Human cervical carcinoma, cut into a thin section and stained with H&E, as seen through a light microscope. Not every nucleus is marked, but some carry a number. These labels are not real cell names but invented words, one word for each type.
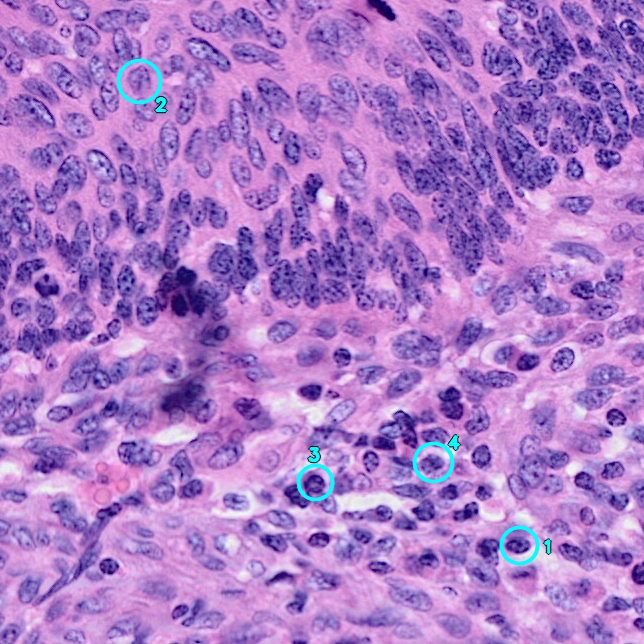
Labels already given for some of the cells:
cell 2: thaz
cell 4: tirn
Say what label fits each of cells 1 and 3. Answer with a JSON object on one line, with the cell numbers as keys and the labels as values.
{"1": "tirn", "3": "tirn"}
